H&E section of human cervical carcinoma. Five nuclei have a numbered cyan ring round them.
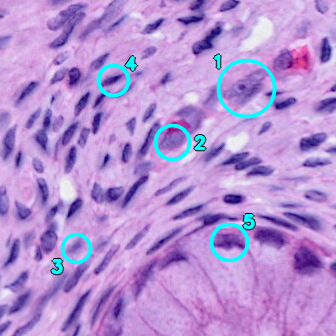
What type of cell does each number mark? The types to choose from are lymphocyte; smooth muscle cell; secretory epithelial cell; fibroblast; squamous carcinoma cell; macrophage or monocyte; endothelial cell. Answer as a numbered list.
1. endothelial cell
2. endothelial cell
3. fibroblast
4. fibroblast
5. secretory epithelial cell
